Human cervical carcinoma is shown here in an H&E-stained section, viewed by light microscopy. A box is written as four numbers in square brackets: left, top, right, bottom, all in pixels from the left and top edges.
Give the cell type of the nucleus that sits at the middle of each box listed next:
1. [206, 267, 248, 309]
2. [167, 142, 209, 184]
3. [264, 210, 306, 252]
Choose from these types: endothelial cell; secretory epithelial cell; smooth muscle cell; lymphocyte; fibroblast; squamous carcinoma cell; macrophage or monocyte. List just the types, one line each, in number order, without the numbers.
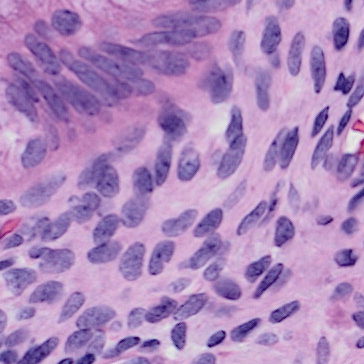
fibroblast
endothelial cell
fibroblast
